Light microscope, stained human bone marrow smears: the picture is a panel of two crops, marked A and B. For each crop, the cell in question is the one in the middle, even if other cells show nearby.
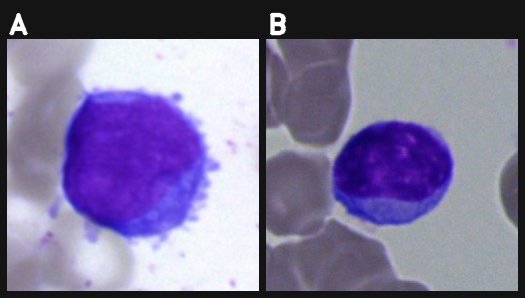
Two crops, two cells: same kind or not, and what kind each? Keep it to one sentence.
No, it is in crop A that a blast is shown, and in crop B that a lymphocyte is shown.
